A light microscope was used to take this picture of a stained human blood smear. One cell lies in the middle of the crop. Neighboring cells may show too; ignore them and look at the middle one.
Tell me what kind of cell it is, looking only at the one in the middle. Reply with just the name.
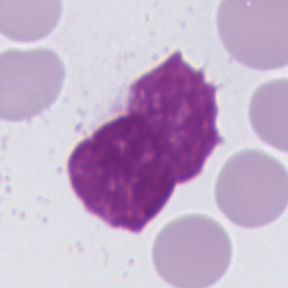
smudge cell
